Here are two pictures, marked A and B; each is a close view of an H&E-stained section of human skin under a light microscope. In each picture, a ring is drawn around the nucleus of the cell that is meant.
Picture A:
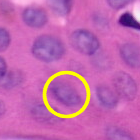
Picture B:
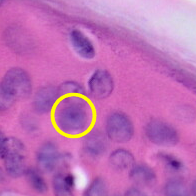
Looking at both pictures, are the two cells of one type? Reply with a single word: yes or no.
yes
